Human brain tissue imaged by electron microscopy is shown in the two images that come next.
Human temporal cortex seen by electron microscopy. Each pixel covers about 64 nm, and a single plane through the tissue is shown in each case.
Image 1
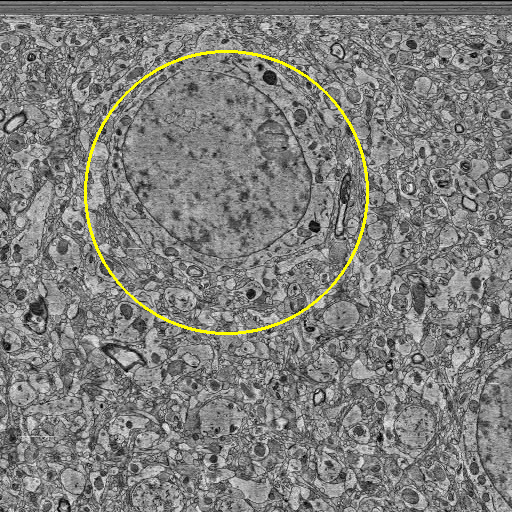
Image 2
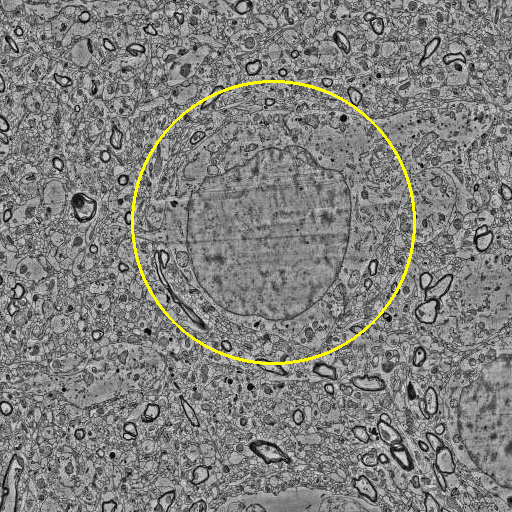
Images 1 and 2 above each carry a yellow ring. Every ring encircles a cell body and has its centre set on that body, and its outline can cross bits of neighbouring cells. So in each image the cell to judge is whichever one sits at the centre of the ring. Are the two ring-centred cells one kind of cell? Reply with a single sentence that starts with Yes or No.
Yes, in Image 1 and Image 2 the cells at the centres of their rings fall into one type.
